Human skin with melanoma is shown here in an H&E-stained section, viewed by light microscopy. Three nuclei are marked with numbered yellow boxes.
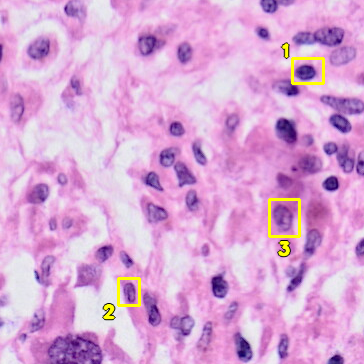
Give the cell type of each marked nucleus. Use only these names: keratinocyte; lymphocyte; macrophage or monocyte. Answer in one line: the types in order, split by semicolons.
lymphocyte; macrophage or monocyte; macrophage or monocyte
